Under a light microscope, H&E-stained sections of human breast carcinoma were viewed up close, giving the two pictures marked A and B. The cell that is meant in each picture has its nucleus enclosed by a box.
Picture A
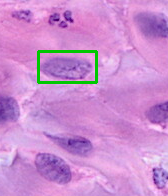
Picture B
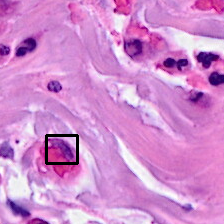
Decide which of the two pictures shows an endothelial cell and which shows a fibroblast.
A: fibroblast
B: endothelial cell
